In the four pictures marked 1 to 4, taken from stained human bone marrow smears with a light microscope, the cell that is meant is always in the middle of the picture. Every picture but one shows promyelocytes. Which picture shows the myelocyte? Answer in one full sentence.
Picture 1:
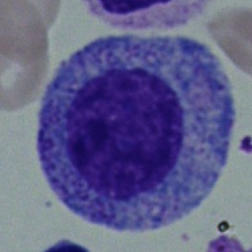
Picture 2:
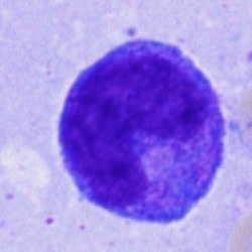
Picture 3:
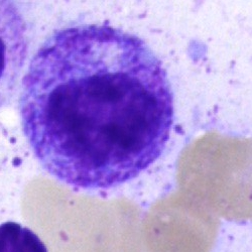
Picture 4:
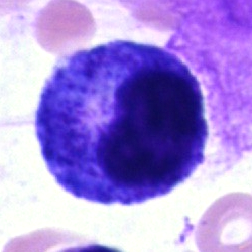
It is picture 3 that shows the myelocyte.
